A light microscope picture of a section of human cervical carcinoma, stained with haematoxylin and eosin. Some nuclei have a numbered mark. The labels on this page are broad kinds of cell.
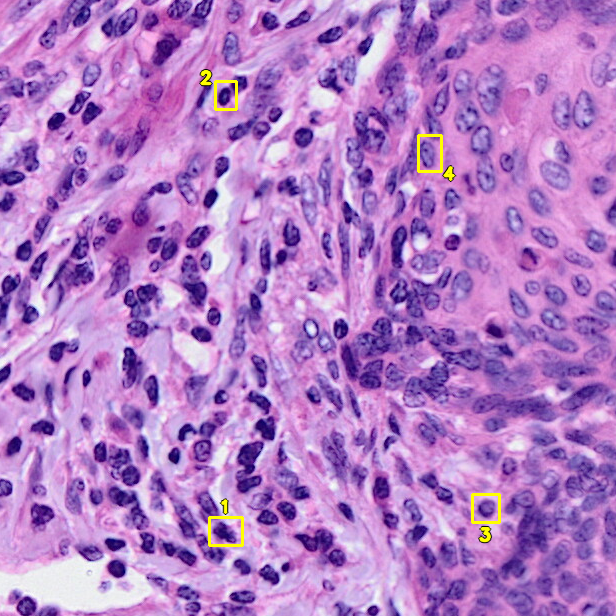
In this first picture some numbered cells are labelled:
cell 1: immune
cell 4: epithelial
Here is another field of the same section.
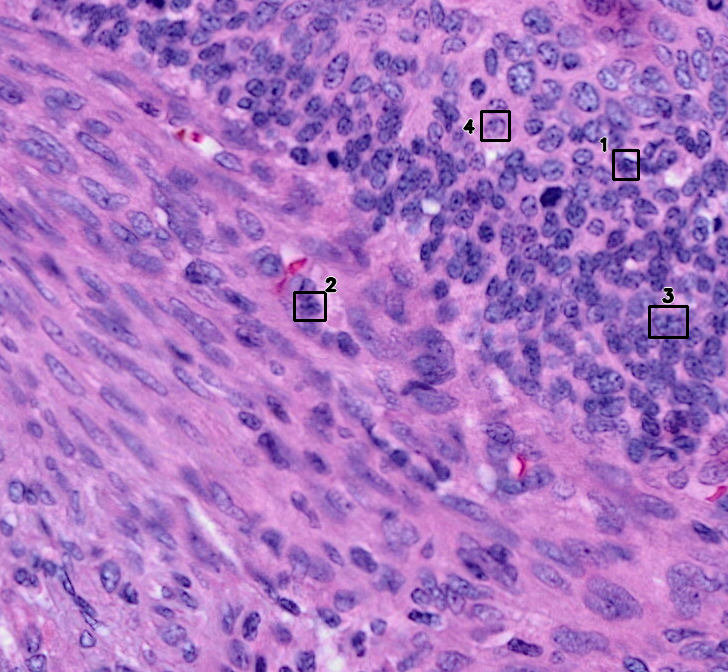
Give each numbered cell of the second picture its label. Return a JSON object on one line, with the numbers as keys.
{"1": "epithelial", "2": "immune", "3": "epithelial", "4": "epithelial"}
